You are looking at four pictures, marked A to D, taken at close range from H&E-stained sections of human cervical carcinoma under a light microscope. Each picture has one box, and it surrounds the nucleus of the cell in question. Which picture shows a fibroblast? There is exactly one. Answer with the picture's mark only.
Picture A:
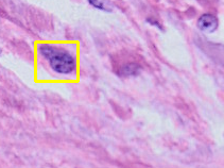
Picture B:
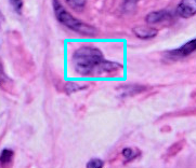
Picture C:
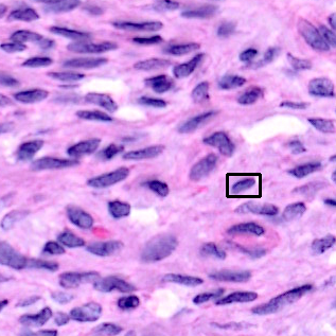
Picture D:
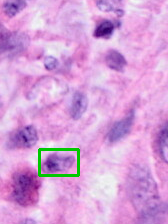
C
